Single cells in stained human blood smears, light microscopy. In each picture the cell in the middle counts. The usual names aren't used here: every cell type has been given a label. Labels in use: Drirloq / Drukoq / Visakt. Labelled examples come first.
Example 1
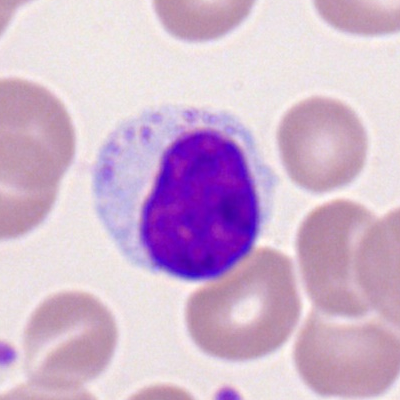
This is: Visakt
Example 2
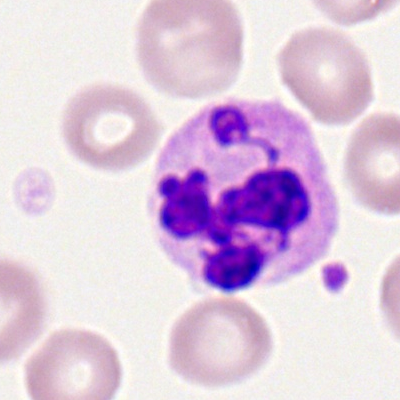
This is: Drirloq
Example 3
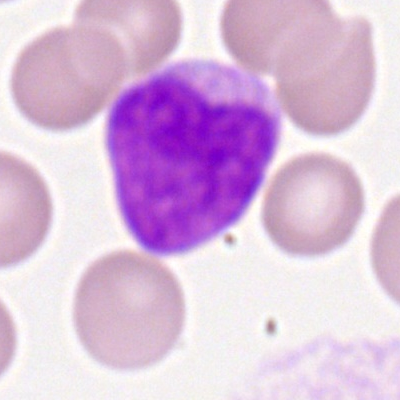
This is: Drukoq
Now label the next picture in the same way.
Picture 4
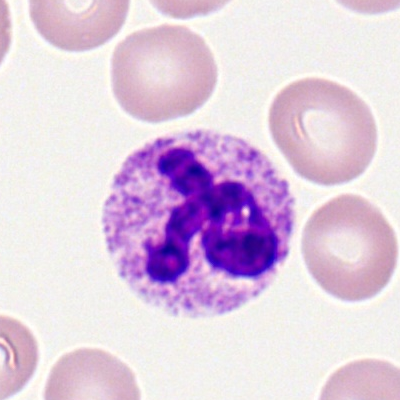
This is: Drirloq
